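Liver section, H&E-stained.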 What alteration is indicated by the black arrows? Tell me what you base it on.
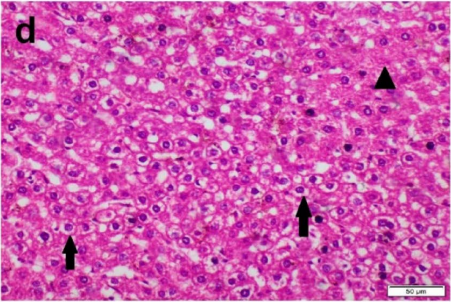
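Hepatocellular degeneration. Many liver cells have pale, cleared or vacuolated cytoplasm. The change is spread across the whole field. Sinusoids between the cell cords are hard to make out.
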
